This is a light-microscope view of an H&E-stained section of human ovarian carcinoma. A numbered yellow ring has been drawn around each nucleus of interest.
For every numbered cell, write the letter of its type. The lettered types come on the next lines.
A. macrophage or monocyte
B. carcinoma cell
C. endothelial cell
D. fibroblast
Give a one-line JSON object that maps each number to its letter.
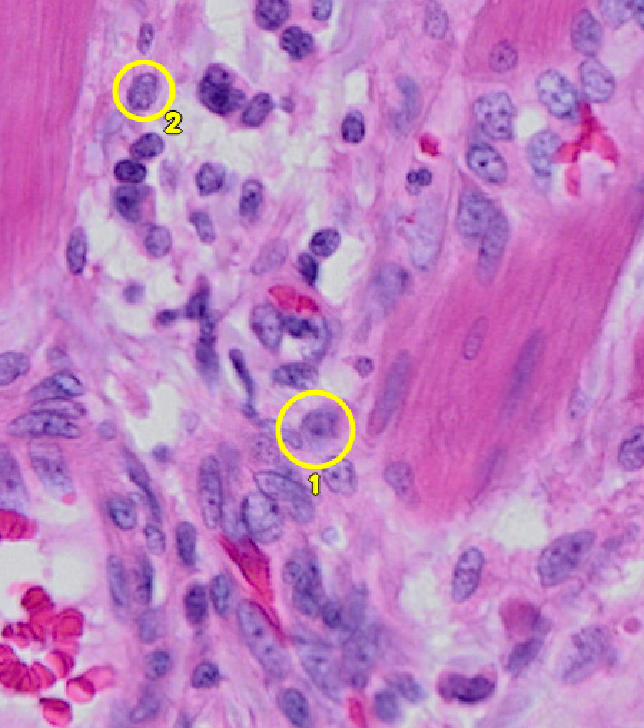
{"1": "D", "2": "A"}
